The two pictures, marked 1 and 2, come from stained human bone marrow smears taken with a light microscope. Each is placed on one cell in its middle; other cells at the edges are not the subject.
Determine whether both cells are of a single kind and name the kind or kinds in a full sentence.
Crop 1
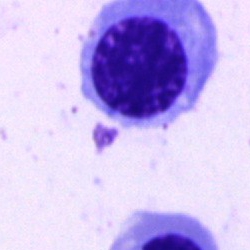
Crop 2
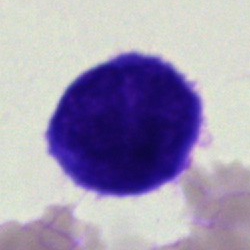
No, cell 1 is a normoblast, and cell 2 is a blast.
